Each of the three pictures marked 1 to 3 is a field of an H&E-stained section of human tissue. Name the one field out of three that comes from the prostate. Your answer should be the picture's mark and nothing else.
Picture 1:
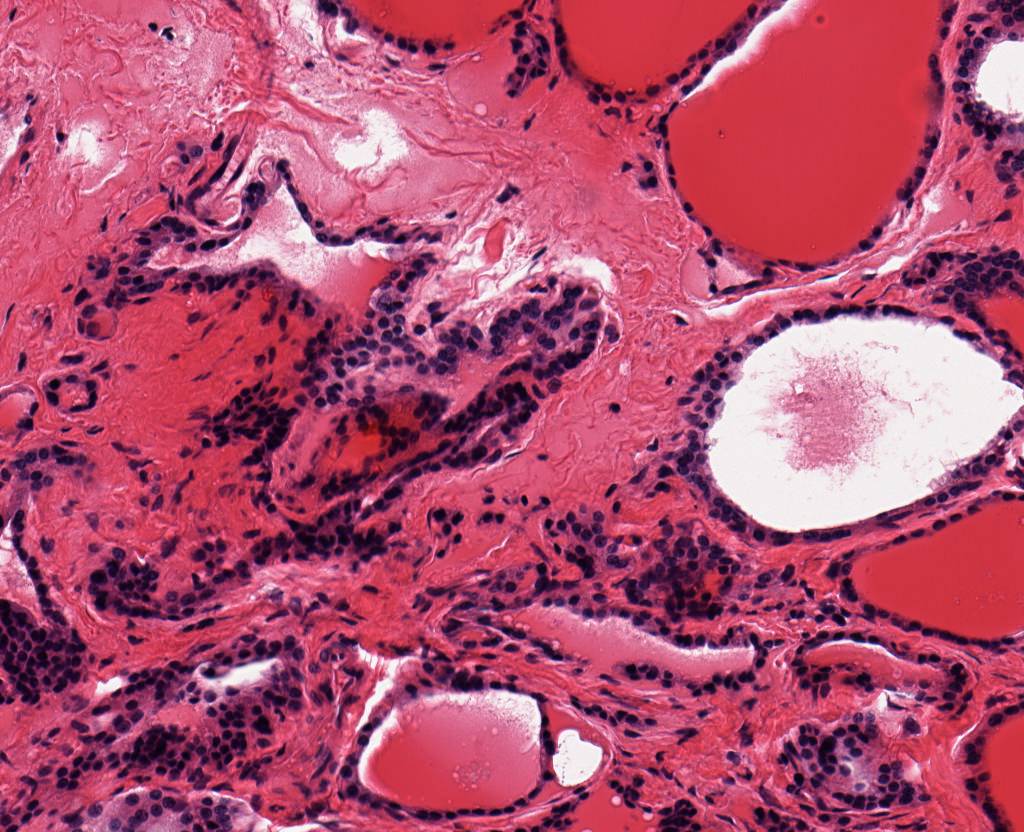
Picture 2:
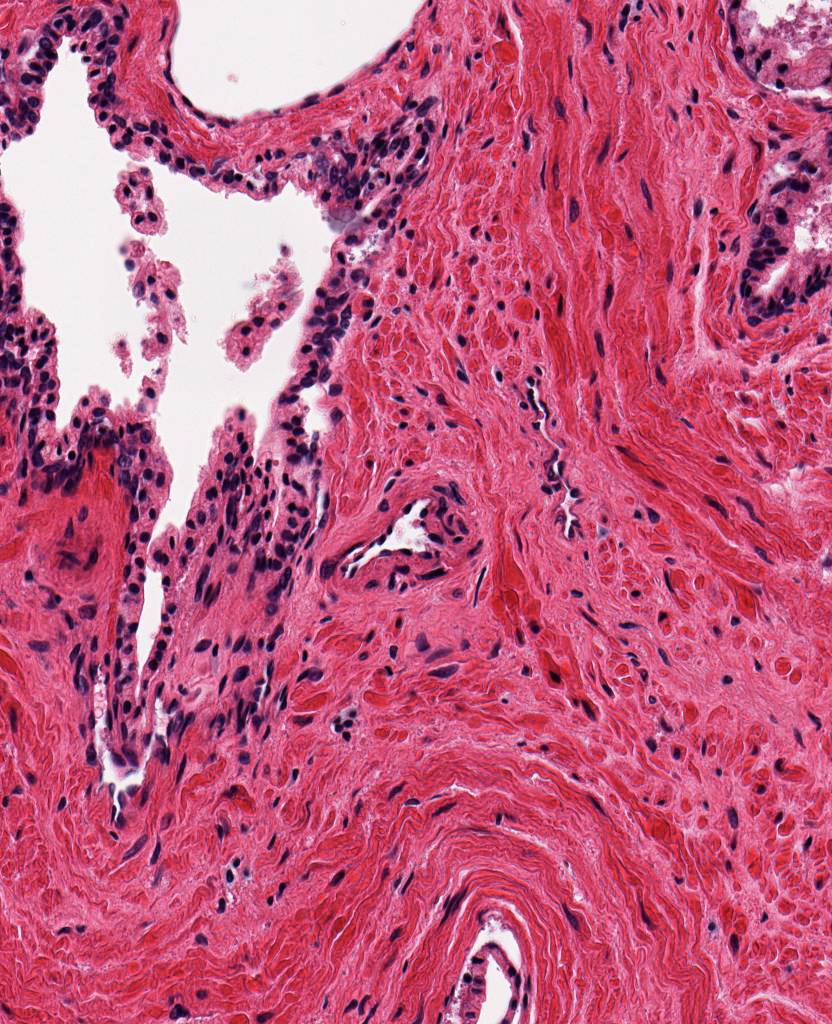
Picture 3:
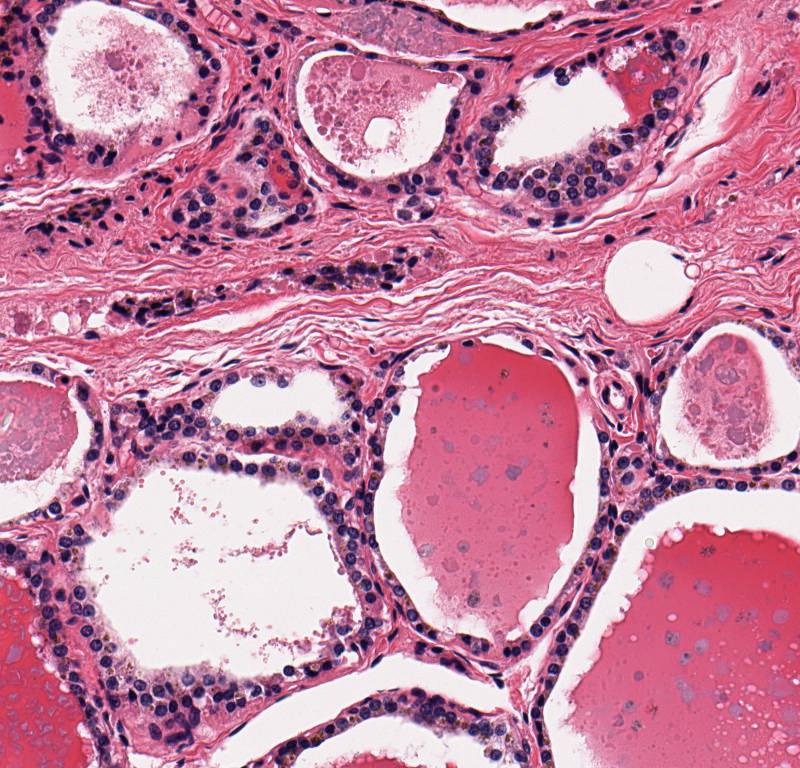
2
